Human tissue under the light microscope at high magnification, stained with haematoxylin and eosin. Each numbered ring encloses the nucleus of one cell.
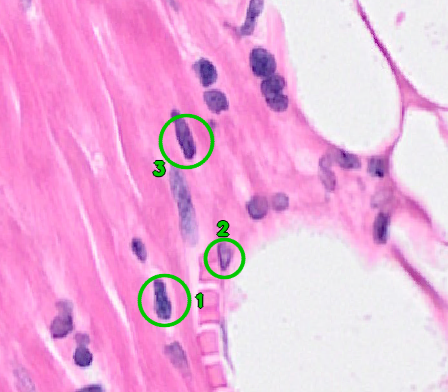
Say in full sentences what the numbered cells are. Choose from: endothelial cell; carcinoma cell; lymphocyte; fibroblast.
Cells 1 and 3 are lymphocytes. Cell 2 is an endothelial cell.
